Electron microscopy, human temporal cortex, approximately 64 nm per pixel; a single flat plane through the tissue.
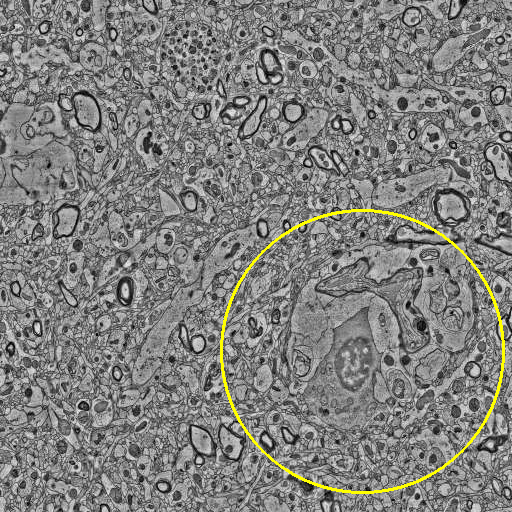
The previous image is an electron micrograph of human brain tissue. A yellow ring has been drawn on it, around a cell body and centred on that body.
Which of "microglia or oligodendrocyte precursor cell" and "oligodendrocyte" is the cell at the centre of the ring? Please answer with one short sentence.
The cell body at the centre of the ring belongs to an oligodendrocyte.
